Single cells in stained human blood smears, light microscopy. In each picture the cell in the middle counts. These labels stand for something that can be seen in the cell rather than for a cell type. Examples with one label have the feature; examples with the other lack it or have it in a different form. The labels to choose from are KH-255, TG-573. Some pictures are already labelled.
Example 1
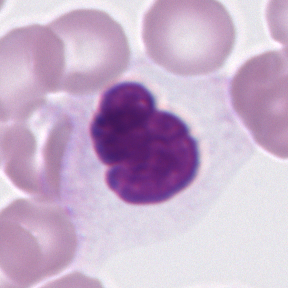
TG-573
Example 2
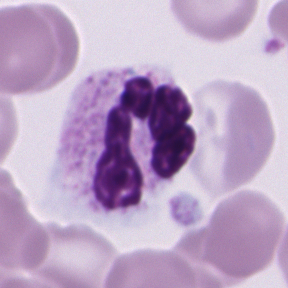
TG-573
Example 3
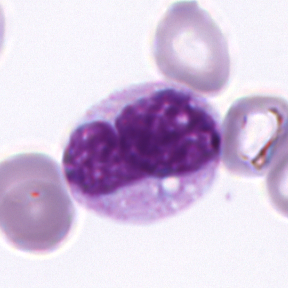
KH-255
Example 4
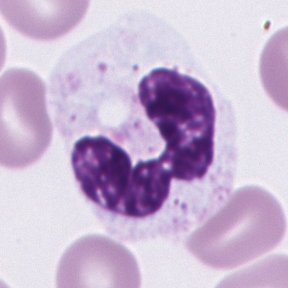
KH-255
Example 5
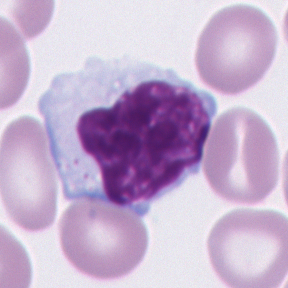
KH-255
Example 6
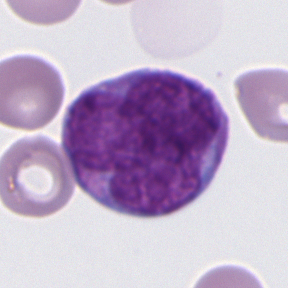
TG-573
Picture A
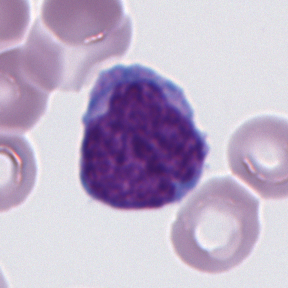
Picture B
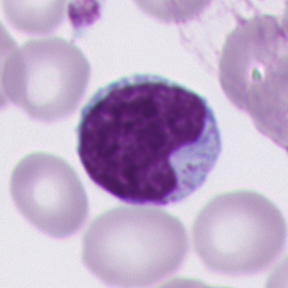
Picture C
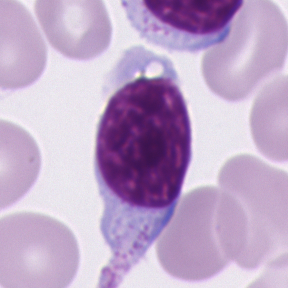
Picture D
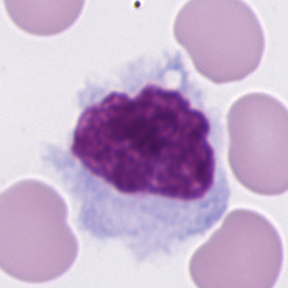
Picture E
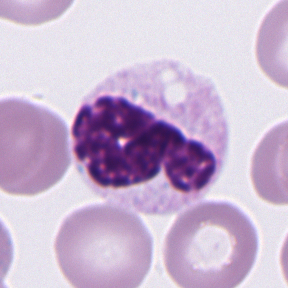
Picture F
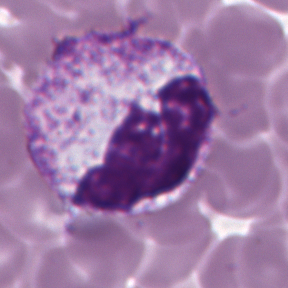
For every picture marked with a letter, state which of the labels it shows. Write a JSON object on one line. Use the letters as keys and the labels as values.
{"A": "TG-573", "B": "TG-573", "C": "KH-255", "D": "KH-255", "E": "KH-255", "F": "KH-255"}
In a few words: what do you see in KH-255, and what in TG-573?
KH-255, vacuoles present; TG-573, no vacuoles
